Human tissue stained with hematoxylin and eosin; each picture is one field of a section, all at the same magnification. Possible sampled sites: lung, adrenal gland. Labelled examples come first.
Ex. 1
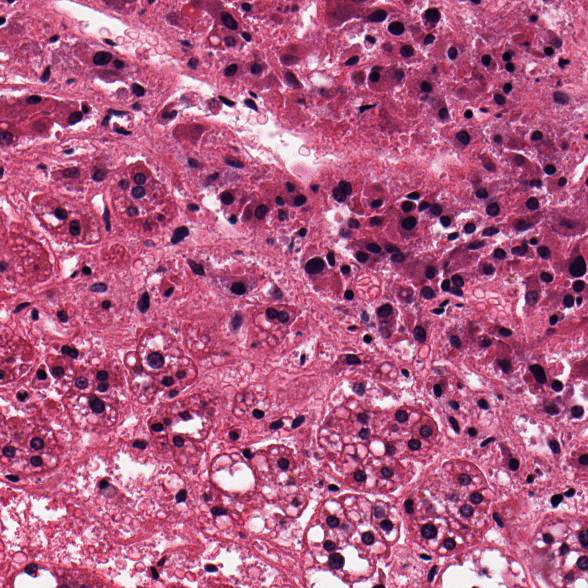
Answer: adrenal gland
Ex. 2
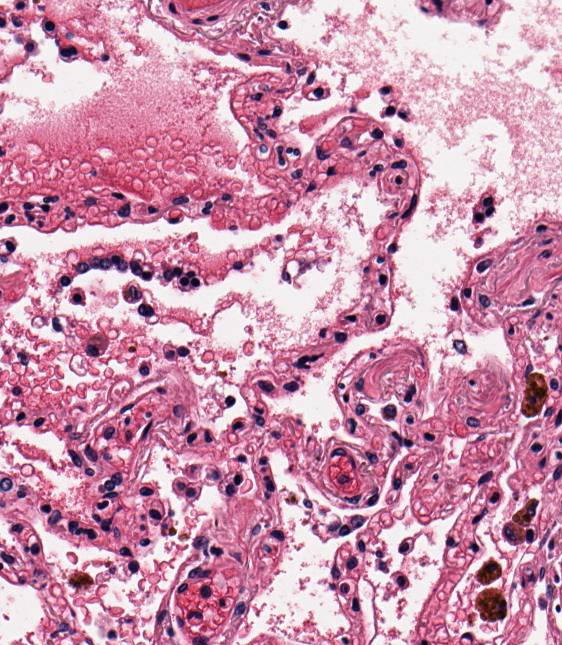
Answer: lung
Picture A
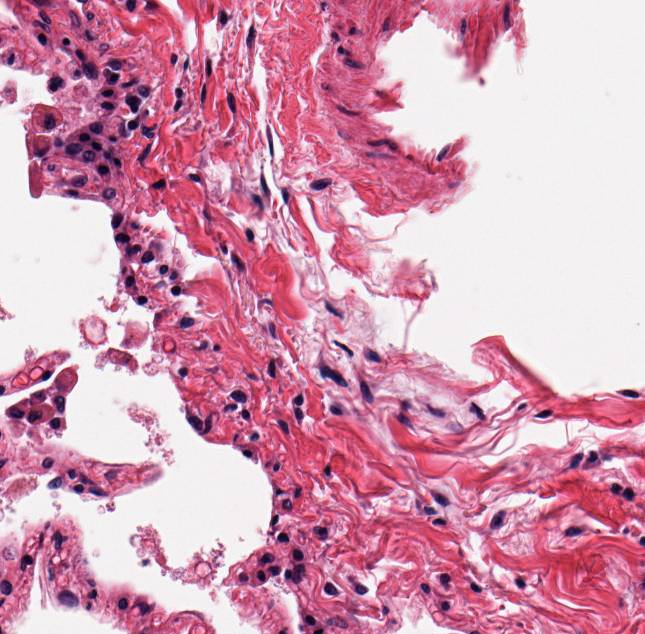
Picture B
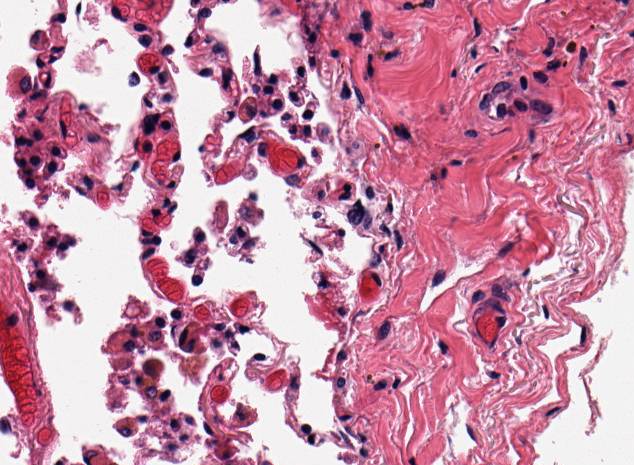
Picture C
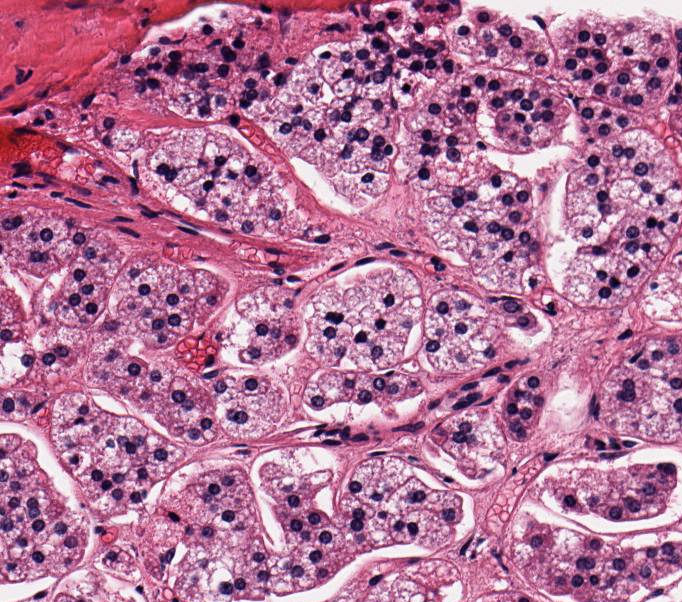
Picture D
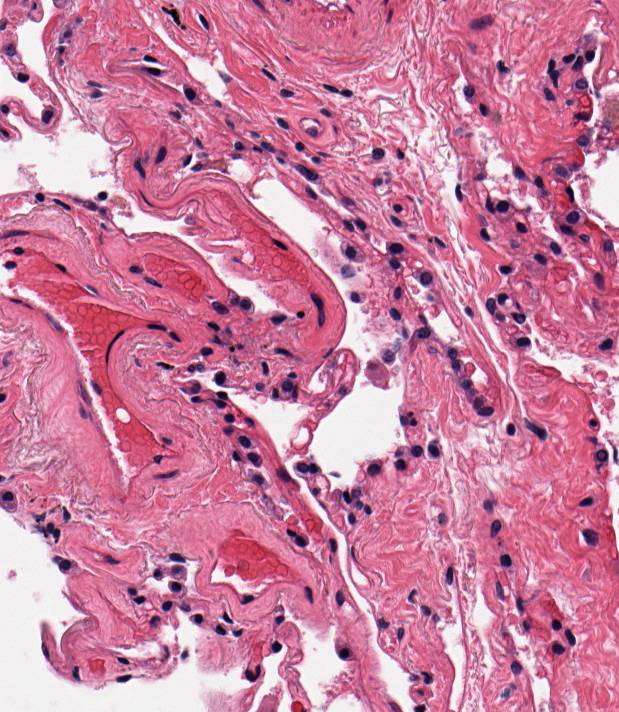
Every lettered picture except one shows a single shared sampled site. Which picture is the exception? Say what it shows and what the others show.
Odd one out: C (adrenal gland). The rest: lung.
